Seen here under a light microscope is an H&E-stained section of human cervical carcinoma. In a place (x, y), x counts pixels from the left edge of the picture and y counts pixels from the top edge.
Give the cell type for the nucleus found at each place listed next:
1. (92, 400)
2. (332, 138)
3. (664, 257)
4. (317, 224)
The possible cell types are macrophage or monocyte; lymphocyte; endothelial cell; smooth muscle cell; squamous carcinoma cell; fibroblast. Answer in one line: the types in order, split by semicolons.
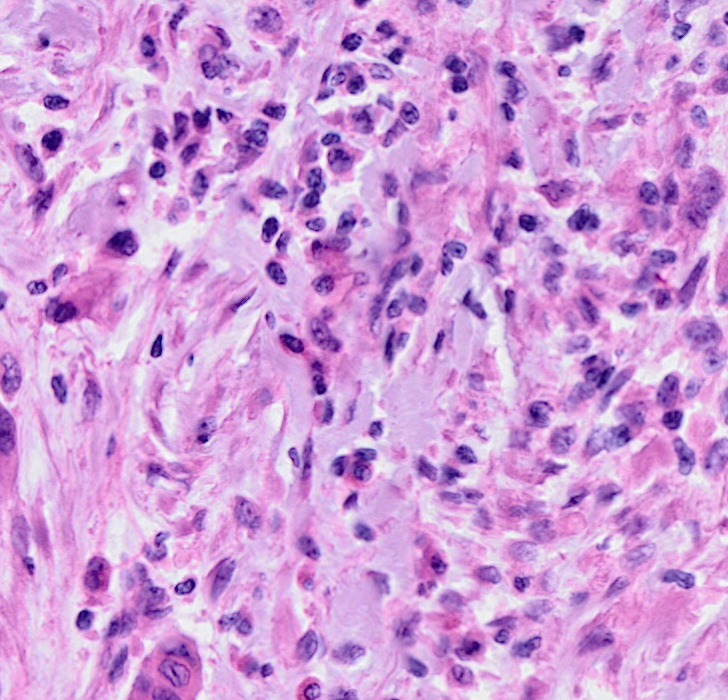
fibroblast; lymphocyte; lymphocyte; lymphocyte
